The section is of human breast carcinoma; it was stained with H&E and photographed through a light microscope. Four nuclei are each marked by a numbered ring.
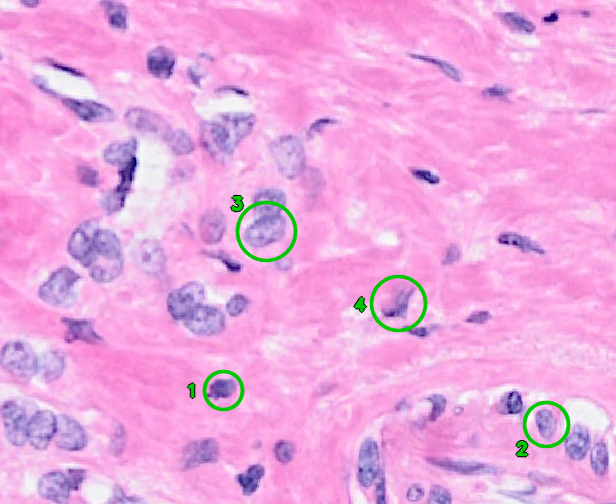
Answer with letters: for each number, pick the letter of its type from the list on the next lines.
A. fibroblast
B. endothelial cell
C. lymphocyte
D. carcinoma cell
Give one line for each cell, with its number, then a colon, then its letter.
1: C
2: B
3: D
4: A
